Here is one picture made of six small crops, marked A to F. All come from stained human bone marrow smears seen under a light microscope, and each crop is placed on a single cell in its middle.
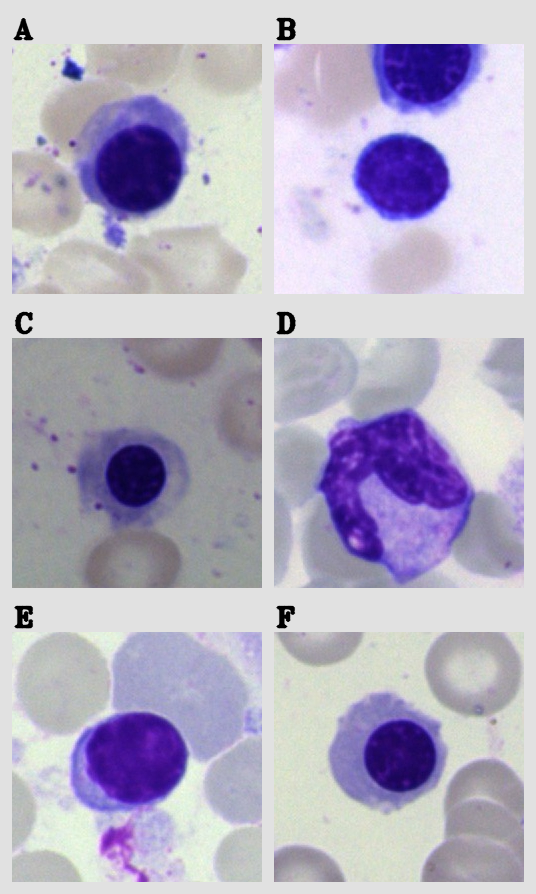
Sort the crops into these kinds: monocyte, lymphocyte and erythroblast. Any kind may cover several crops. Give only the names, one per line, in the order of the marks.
erythroblast
lymphocyte
erythroblast
monocyte
lymphocyte
erythroblast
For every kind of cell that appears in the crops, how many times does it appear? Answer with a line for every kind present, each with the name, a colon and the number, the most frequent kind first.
erythroblast: 3
lymphocyte: 2
monocyte: 1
